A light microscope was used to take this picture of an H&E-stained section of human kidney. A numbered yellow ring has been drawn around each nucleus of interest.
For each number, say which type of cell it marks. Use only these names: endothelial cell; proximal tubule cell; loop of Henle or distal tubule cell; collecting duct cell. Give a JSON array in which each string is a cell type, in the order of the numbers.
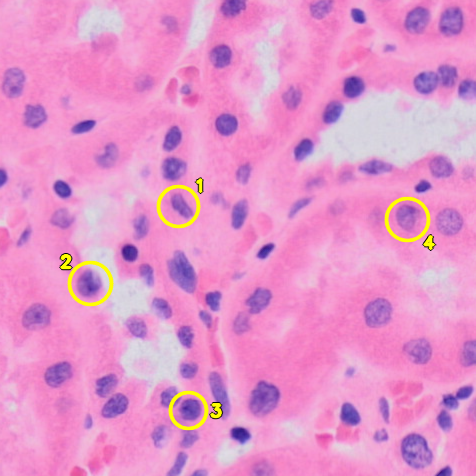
["loop of Henle or distal tubule cell", "loop of Henle or distal tubule cell", "loop of Henle or distal tubule cell", "proximal tubule cell"]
